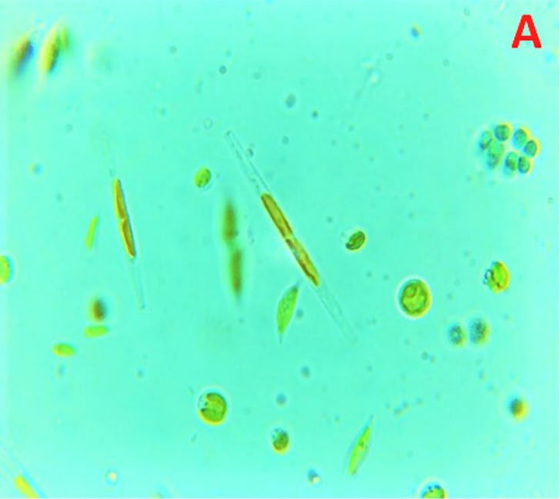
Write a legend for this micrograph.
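Elongated, spindle-shaped diatoms with golden-brown contents and pointed ends lie scattered among them, some long and needle-like, others shorter. Between them are many round green cells, singly or in small groups, and a compact cluster of small spherical cells at the upper right. Small pale particles are scattered over the background.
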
